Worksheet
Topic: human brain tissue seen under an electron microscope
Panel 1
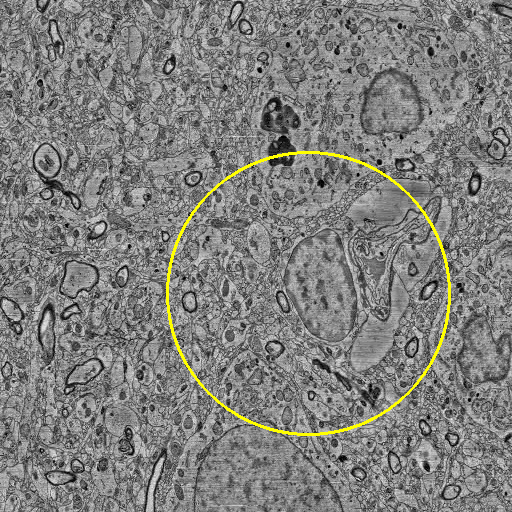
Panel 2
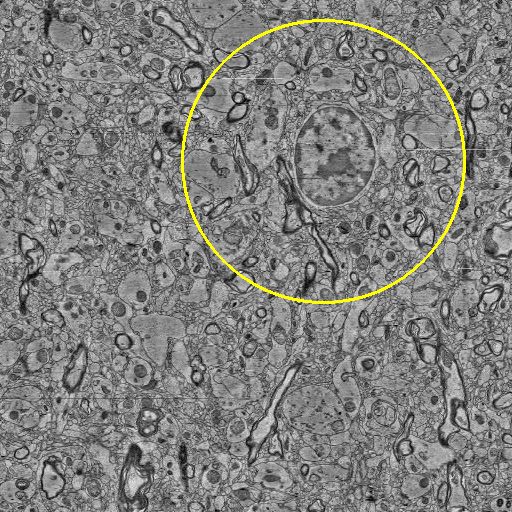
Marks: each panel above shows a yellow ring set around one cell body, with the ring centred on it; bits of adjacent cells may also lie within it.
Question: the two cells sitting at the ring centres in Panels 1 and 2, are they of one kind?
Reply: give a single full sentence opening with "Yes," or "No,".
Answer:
Yes, the two ring-centre cells in Panel 1 and Panel 2 are of one kind.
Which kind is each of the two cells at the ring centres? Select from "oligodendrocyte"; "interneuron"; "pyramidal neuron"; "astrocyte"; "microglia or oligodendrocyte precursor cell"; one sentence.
In both pictures the ring is centred on a microglial cell or oligodendrocyte precursor cell.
